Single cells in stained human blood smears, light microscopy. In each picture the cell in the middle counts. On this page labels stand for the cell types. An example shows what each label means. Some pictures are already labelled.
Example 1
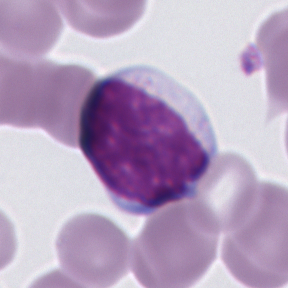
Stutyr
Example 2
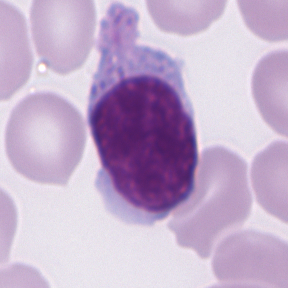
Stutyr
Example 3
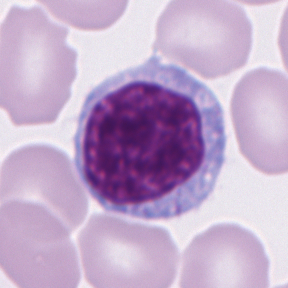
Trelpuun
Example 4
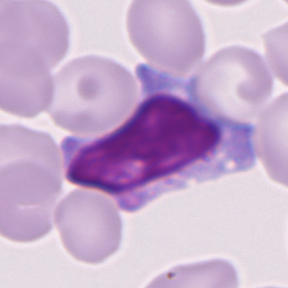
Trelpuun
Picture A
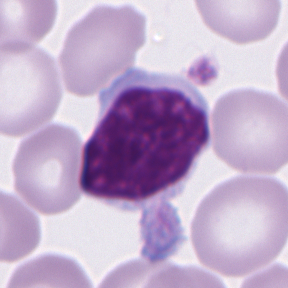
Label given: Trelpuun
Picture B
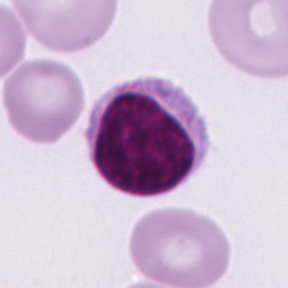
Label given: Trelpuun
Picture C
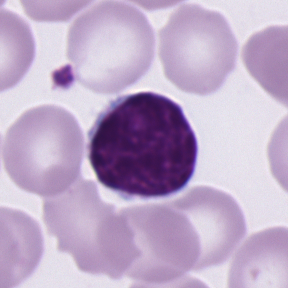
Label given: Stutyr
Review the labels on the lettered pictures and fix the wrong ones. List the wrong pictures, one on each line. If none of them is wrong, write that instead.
B: not Trelpuun but Stutyr
C: not Stutyr but Trelpuun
